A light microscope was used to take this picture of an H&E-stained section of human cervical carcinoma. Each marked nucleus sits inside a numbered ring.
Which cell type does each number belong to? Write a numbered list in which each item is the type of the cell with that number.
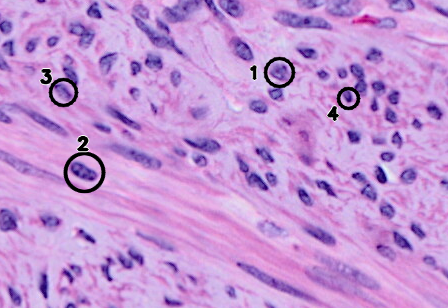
1. smooth muscle cell
2. lymphocyte
3. smooth muscle cell
4. smooth muscle cell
